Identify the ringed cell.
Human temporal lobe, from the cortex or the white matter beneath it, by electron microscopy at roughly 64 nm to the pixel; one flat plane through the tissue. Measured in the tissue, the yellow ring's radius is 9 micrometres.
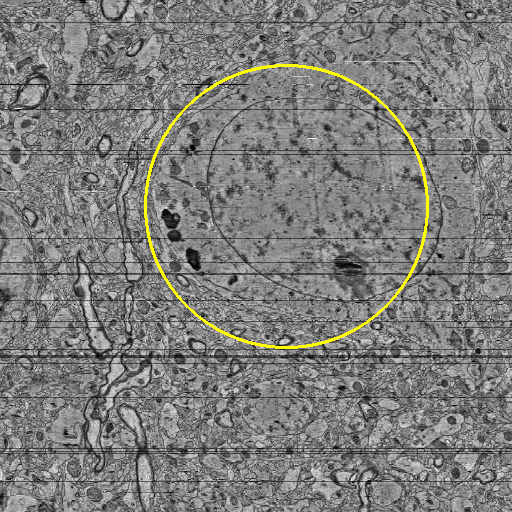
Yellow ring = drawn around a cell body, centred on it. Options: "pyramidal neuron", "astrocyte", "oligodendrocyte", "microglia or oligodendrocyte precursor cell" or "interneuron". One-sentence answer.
What the ring is centred on is a pyramidal neuron.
